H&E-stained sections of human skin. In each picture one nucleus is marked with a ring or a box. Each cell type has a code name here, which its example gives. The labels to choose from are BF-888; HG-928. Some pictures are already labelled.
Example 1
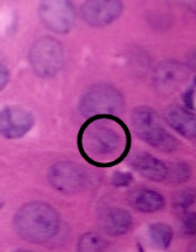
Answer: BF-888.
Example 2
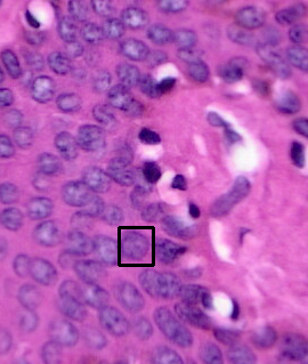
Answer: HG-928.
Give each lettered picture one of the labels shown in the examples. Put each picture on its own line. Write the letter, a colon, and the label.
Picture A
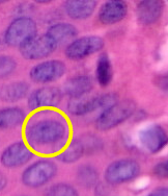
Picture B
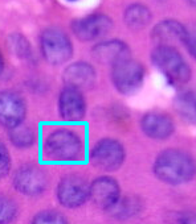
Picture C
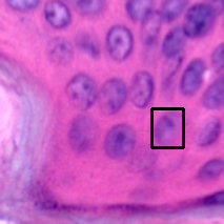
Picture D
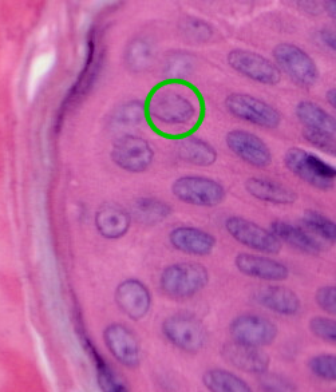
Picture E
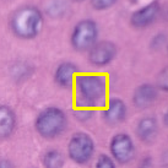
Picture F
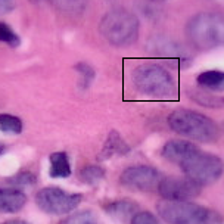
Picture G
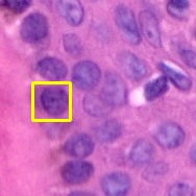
A: BF-888.
B: BF-888.
C: BF-888.
D: BF-888.
E: BF-888.
F: HG-928.
G: HG-928.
